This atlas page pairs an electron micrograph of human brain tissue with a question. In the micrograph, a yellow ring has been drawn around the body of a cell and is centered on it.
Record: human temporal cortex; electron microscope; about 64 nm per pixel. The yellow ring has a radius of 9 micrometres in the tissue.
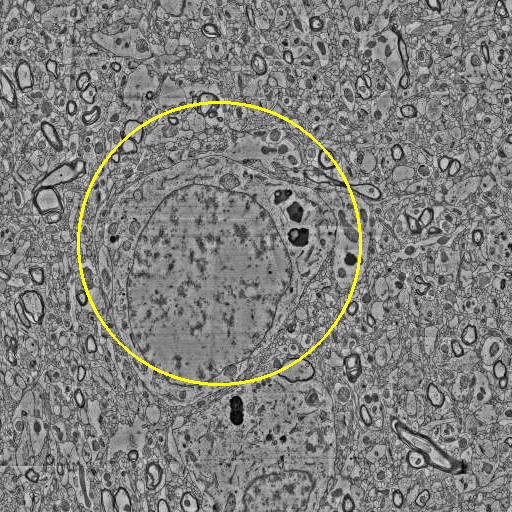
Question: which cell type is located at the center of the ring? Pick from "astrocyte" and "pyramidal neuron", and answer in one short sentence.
Located at the center of the ring is a pyramidal neuron.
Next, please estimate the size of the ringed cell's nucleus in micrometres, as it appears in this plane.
The ringed cell's nucleus measures approximately 13 by 11 micrometres in this plane.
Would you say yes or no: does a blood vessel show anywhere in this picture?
No, there is none.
